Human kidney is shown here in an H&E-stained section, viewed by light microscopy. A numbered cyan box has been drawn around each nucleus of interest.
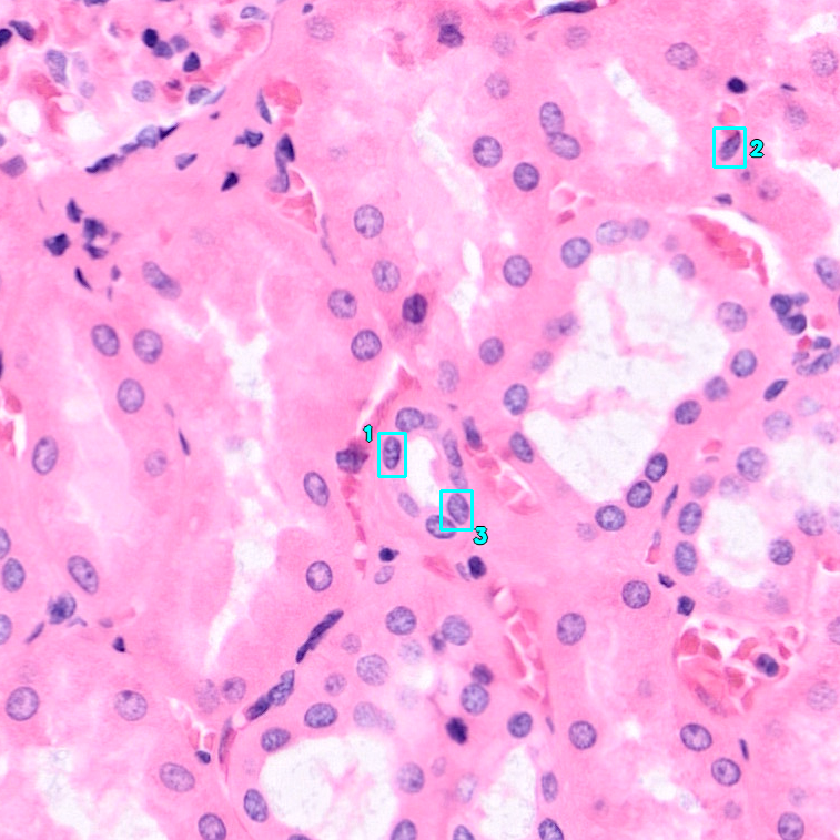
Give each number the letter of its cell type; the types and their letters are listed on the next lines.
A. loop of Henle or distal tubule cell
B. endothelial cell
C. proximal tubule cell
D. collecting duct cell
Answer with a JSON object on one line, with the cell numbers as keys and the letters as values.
{"1": "D", "2": "B", "3": "D"}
